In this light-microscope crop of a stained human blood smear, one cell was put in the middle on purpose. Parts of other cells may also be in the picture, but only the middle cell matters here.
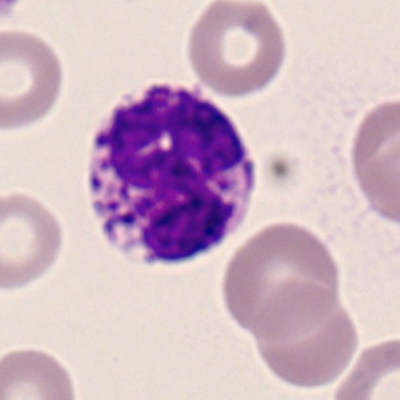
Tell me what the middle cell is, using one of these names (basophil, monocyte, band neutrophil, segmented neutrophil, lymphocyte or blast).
basophil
